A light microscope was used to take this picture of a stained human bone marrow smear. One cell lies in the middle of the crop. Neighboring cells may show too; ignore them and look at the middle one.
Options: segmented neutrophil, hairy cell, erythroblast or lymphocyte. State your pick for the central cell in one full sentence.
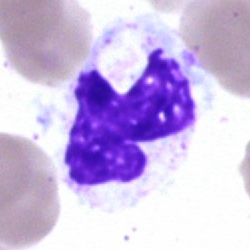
The centrally positioned cell in the crop represents a segmented neutrophil.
